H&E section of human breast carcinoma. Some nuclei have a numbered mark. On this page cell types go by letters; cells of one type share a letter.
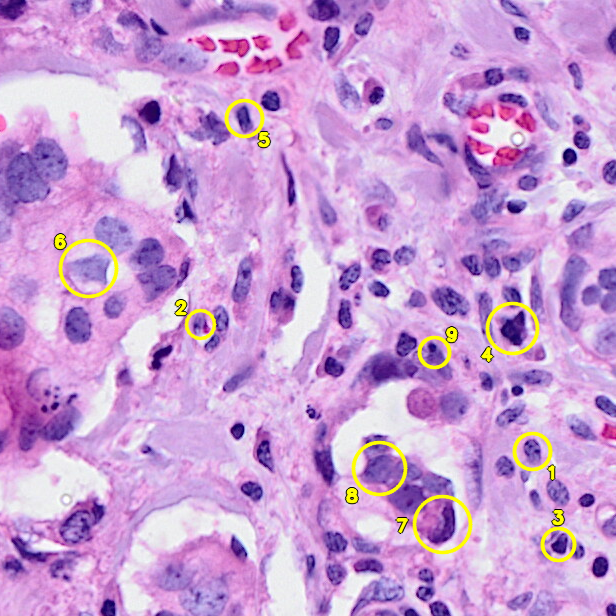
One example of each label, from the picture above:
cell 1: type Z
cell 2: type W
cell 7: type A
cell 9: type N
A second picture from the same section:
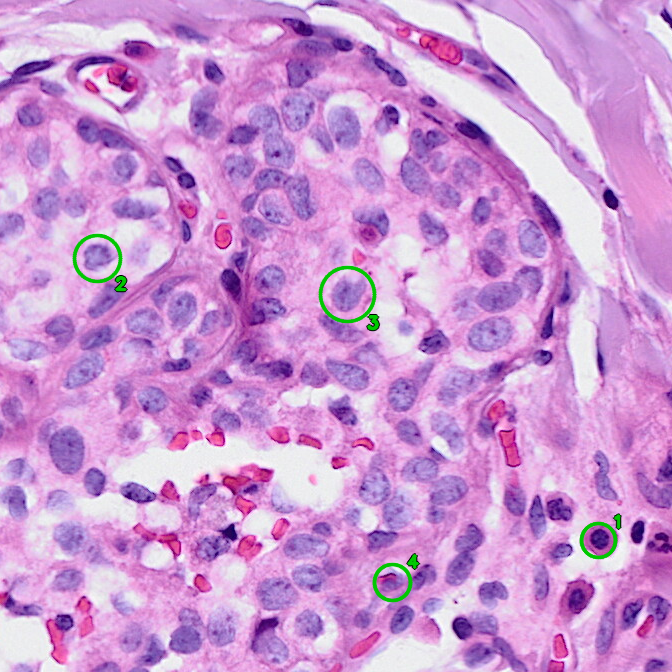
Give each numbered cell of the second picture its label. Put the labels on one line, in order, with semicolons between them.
type Z; type A; type A; type W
